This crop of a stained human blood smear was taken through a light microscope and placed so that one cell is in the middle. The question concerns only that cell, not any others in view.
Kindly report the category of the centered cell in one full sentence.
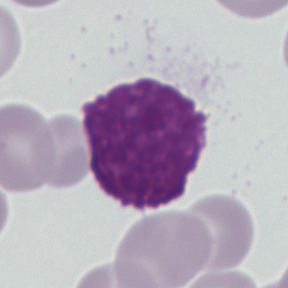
The cell at the heart of this crop is a smudge cell.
